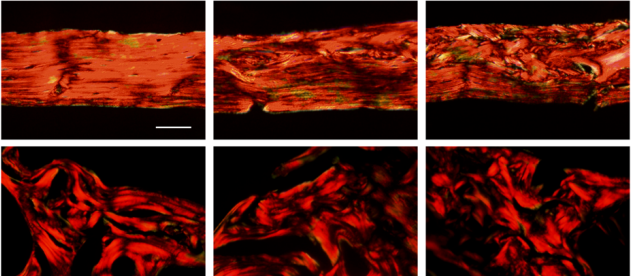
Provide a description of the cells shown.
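In the top row is a narrow, dense strip of cortical bone. Its fibres glow red-orange and run largely along the strip, though in places they look more irregular and tangled. Small yellow-green patches are scattered among them. In the bottom row is cancellous bone, a network of trabeculae around dark empty spaces. Its bright red fibre bundles are sometimes long and sweeping and sometimes short and jumbled, with occasional faint green.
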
